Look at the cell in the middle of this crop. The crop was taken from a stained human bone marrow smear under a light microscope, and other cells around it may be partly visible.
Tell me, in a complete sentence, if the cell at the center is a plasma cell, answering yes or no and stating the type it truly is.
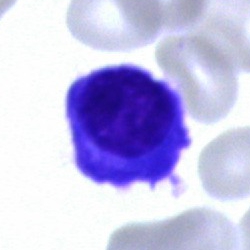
Yes, the cell positioned at the centre of the crop is a plasma cell.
